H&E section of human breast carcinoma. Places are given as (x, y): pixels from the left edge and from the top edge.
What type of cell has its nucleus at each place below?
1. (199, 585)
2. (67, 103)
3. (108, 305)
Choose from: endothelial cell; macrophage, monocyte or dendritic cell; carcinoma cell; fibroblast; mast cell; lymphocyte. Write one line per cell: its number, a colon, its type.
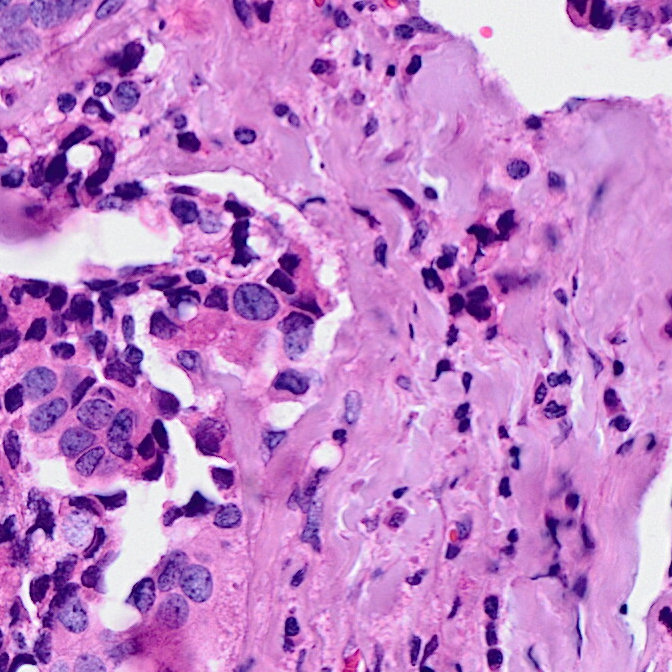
1: carcinoma cell
2: lymphocyte
3: carcinoma cell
